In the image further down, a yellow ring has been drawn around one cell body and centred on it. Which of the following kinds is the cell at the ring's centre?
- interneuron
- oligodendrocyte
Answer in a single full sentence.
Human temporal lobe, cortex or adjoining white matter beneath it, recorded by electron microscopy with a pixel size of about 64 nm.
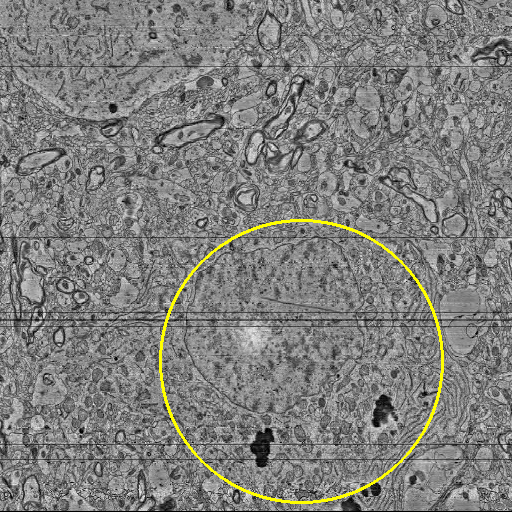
In the picture, the cell sitting at the centre of the yellow ring is an interneuron.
